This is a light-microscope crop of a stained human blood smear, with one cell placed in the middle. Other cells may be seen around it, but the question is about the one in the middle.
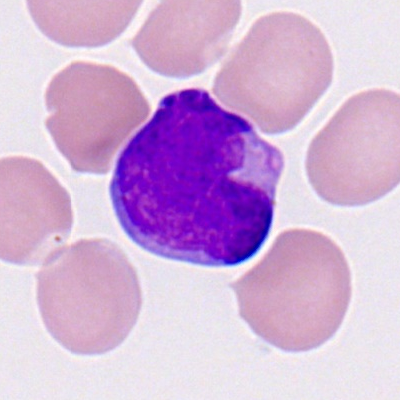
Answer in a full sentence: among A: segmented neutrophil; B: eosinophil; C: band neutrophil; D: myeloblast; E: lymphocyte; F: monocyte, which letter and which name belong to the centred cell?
Since the middle cell is a myeloblast, option D is the right one.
